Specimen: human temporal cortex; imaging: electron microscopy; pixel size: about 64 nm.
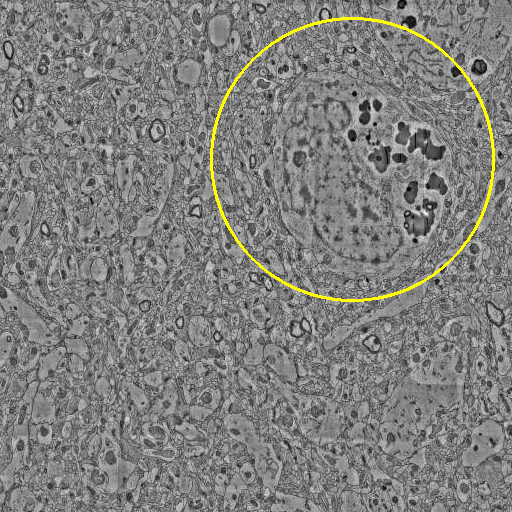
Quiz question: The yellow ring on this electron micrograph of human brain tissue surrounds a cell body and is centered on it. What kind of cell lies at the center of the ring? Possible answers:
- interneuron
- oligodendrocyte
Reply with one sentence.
The ring's center lies on an interneuron.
